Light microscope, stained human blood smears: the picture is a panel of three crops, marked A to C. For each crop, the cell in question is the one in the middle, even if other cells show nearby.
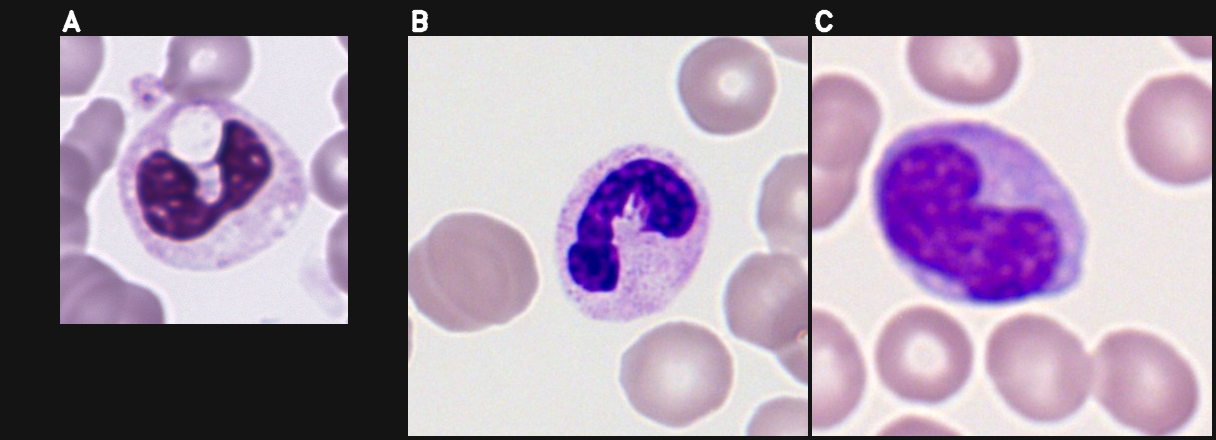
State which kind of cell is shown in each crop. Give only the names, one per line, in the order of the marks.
segmented neutrophil
band neutrophil
monocyte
